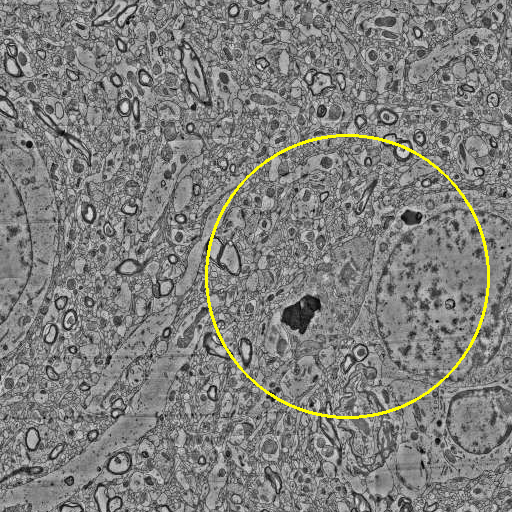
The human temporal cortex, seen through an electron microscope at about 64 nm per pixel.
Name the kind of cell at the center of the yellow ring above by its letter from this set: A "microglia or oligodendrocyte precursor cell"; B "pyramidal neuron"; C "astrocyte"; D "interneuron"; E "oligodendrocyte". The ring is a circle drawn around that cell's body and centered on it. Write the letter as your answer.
E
